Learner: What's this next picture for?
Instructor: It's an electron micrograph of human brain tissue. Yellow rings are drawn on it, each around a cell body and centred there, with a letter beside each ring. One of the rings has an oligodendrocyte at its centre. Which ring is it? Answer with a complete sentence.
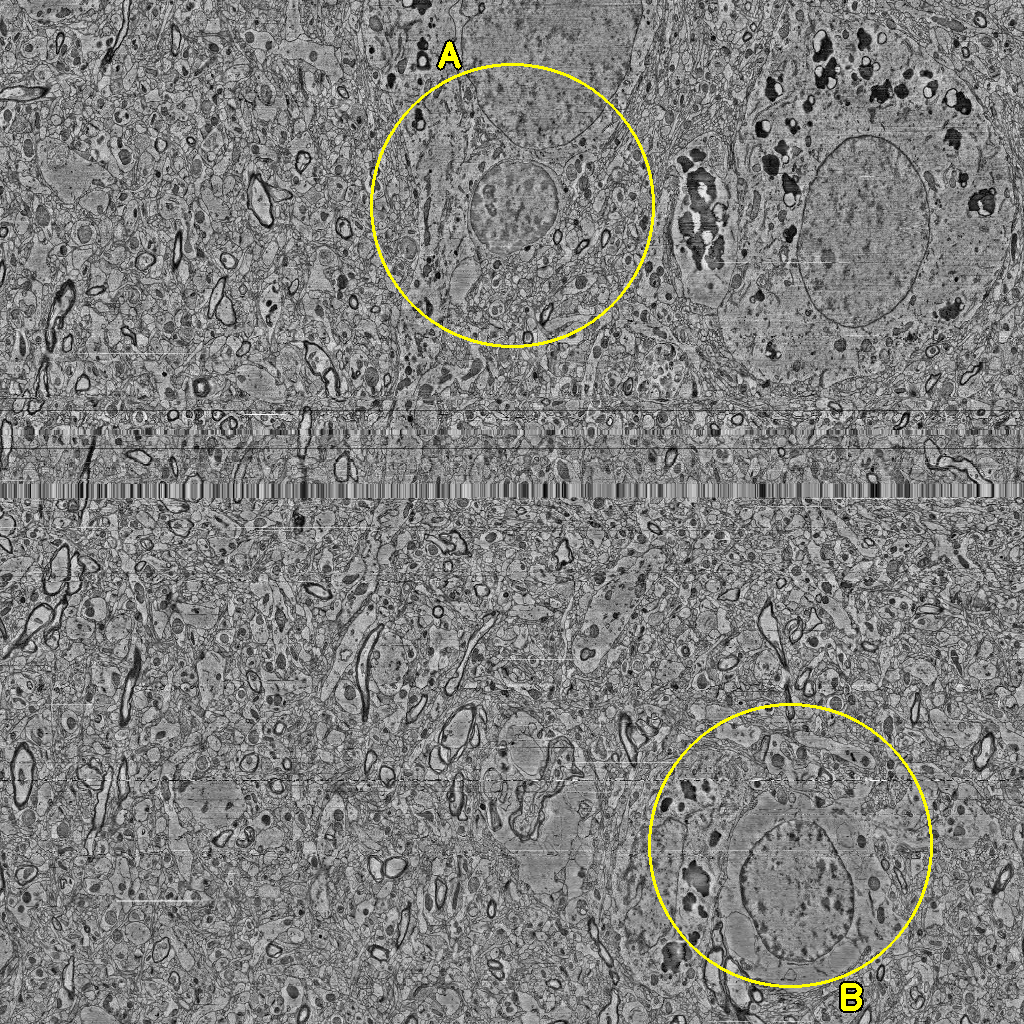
Ring A is centred on it.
